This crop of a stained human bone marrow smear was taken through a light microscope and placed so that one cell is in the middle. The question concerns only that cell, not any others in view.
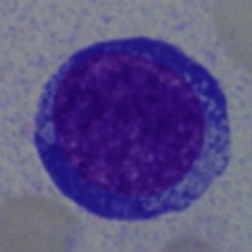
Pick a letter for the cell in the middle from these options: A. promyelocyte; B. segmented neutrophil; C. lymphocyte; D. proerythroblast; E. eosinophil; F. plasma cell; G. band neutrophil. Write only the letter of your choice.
D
